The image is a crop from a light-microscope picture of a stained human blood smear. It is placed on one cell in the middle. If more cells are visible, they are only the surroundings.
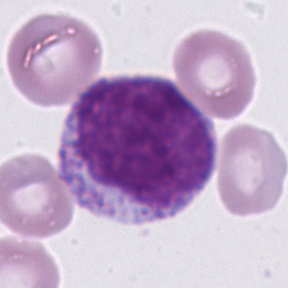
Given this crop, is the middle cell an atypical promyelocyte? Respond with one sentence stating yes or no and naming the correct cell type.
No, in this crop the middle cell is a myelocyte, not an atypical promyelocyte.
